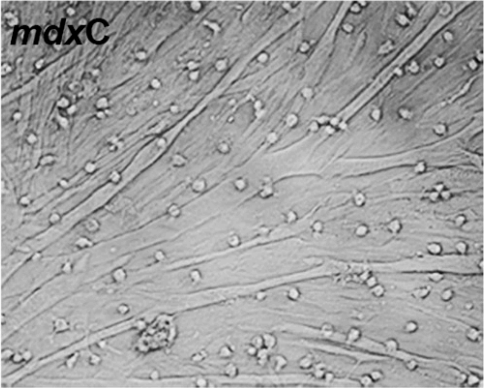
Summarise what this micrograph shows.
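Cultured muscle fibers seen unstained in relief contrast, long and narrow, lying closely packed and largely parallel across the field. The fibers are thin, unbranched and run edge to edge of the view. Many small, round, refractile cells sit scattered on top of the fiber layer, singly or in small clumps.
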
